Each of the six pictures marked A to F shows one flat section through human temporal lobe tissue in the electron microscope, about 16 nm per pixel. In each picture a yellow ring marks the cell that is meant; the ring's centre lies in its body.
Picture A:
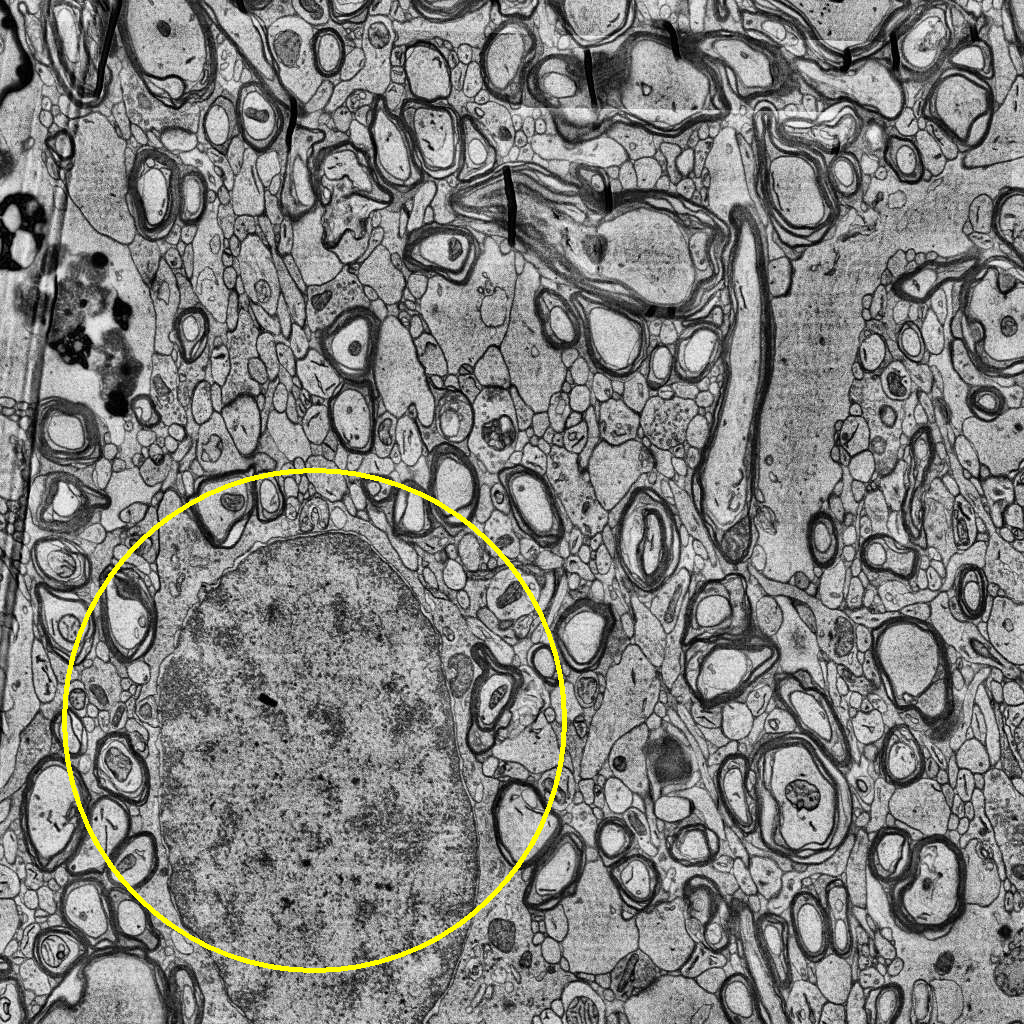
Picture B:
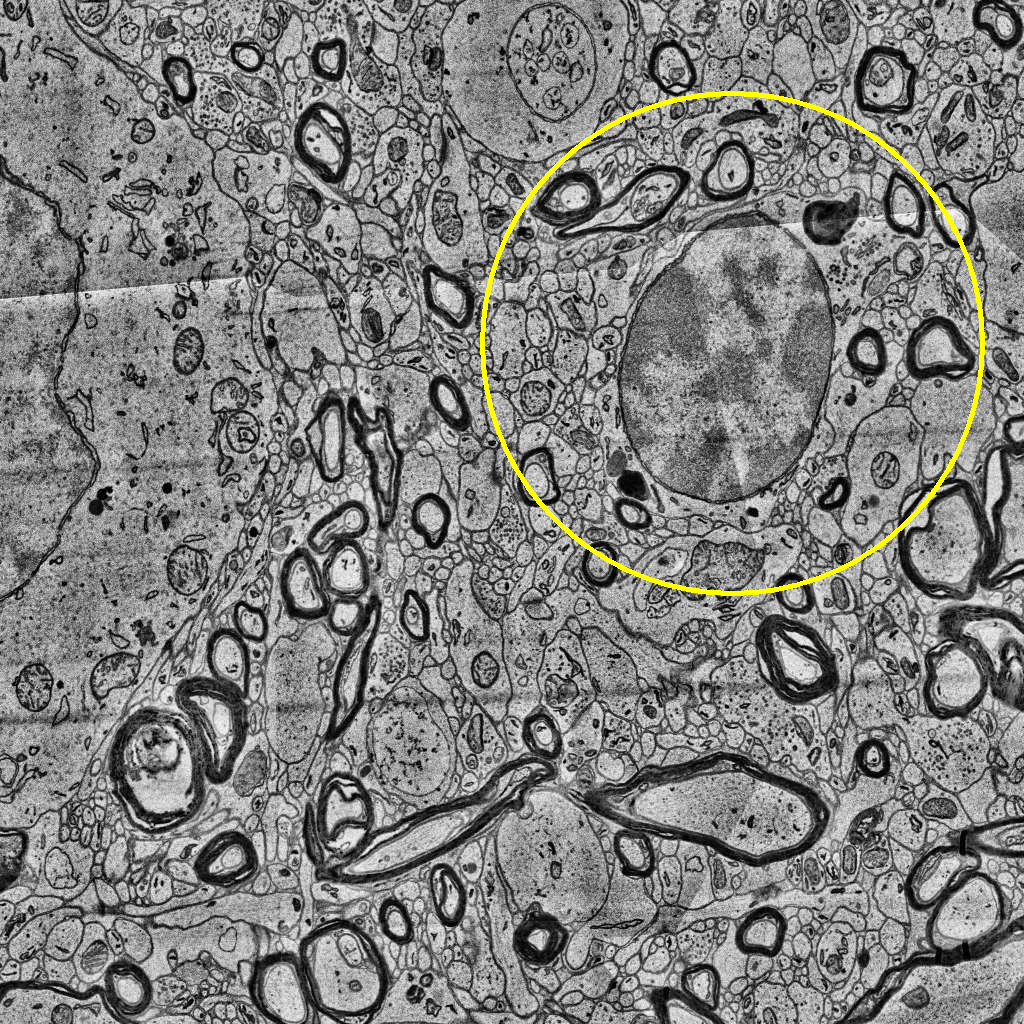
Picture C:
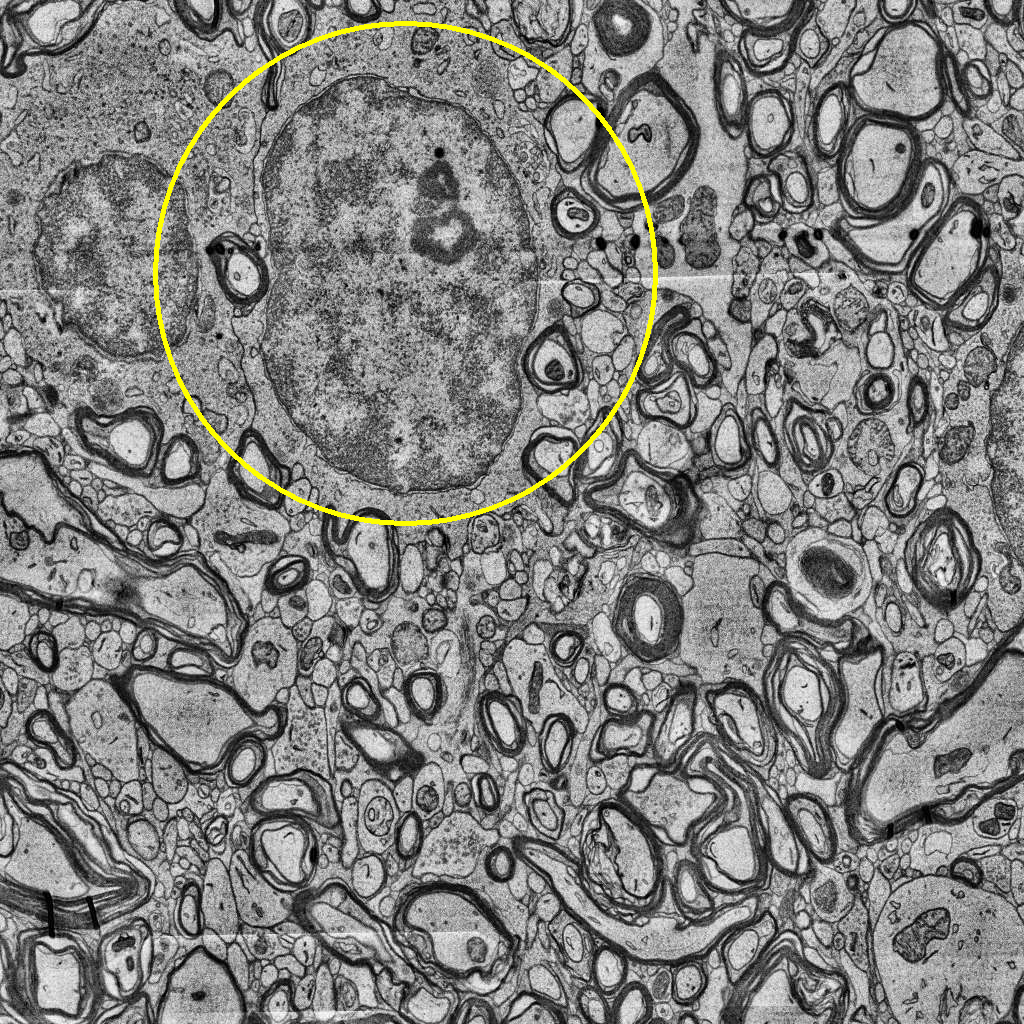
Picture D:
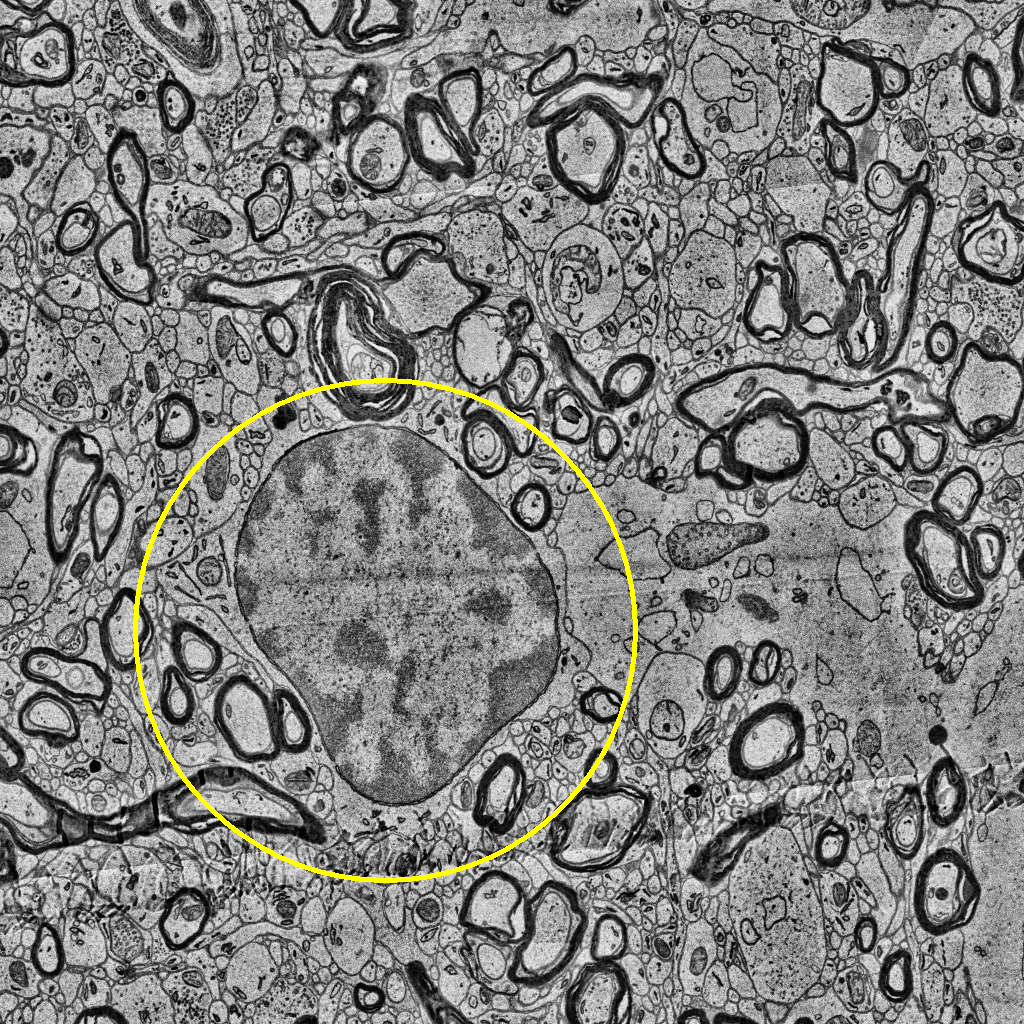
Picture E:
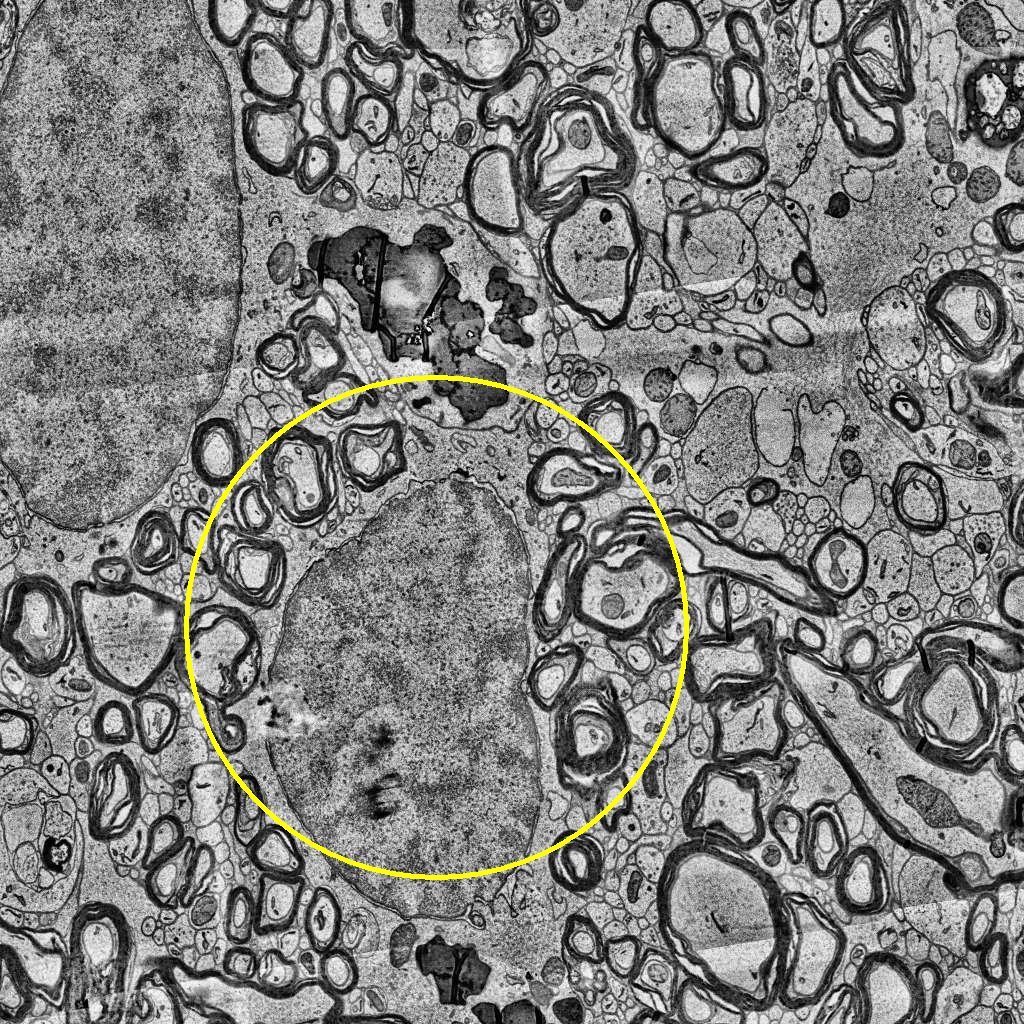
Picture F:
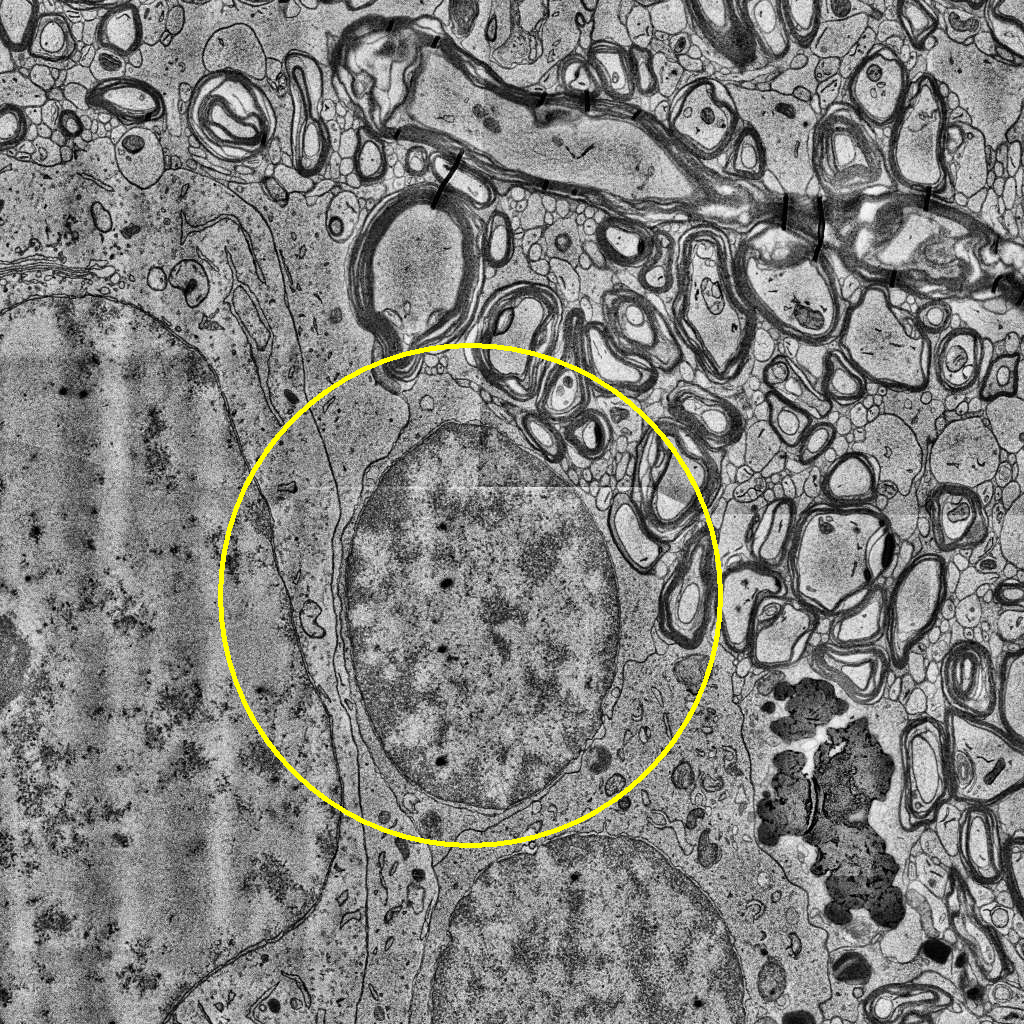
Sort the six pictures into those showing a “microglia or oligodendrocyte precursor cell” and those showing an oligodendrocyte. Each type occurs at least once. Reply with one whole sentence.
Pictures B and D show “microglia or oligodendrocyte precursor cells”, while pictures A, C, E and F show oligodendrocytes.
